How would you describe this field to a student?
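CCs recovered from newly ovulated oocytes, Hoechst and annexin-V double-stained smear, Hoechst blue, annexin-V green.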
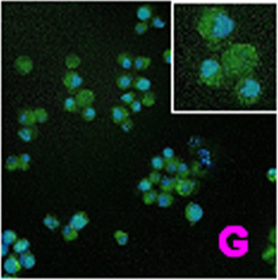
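Small scattered groups of rounded cells, each with a blue nucleus, and nearly all showing green signal around and over the cell. The inset at higher magnification shows green staining enclosing cells with blue nuclei.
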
